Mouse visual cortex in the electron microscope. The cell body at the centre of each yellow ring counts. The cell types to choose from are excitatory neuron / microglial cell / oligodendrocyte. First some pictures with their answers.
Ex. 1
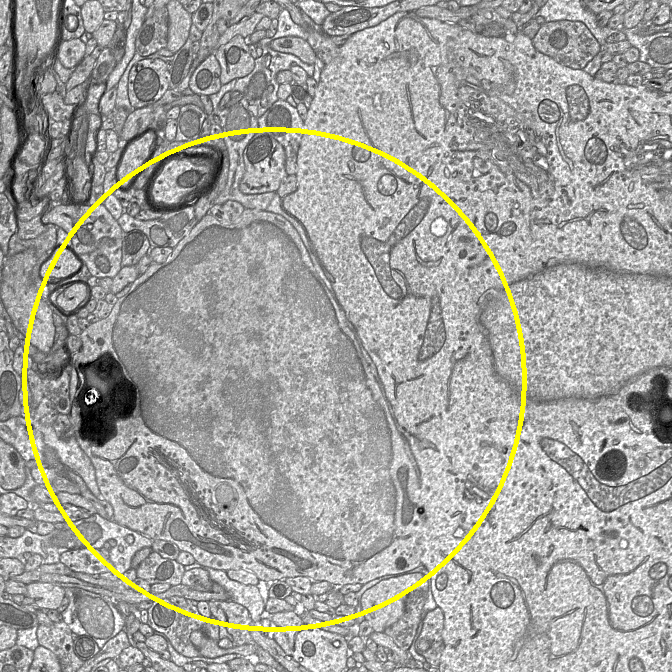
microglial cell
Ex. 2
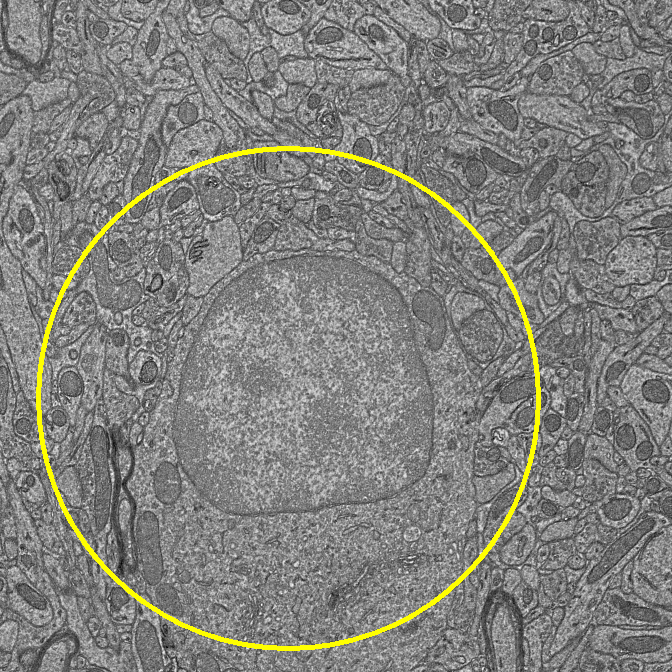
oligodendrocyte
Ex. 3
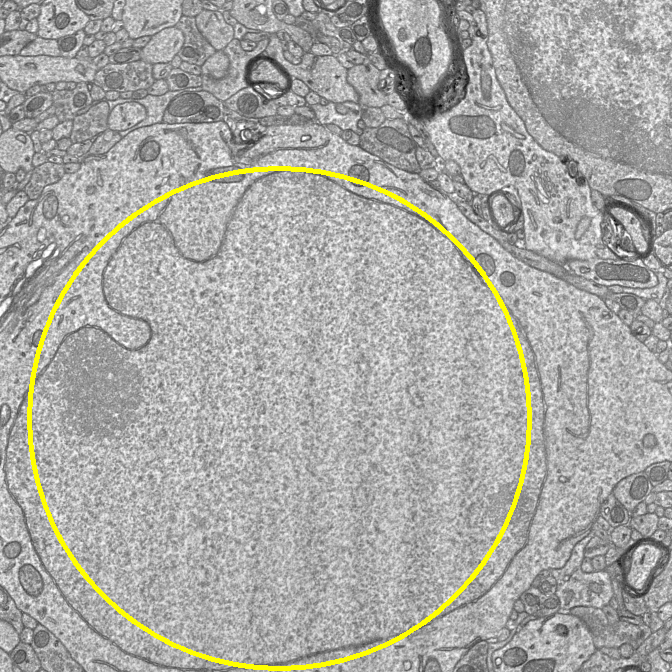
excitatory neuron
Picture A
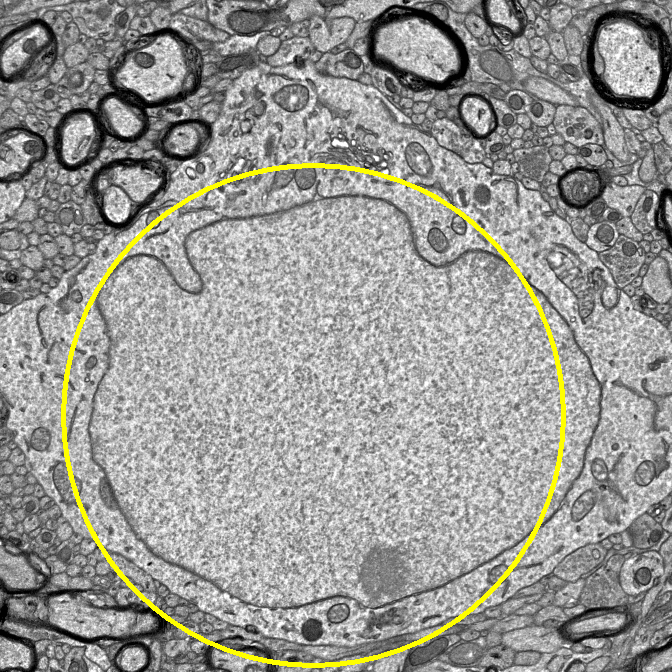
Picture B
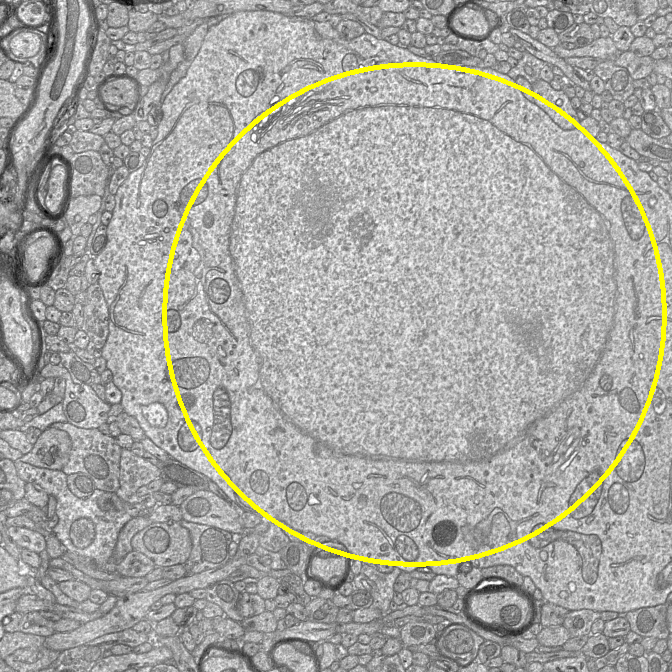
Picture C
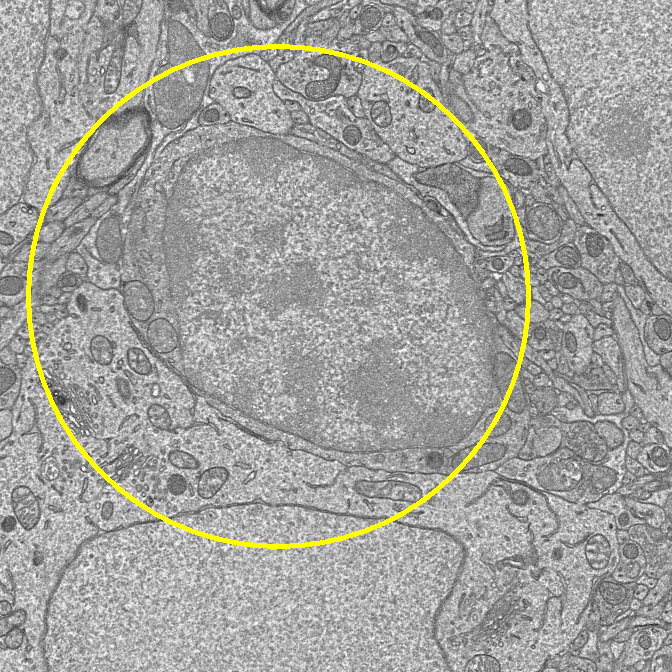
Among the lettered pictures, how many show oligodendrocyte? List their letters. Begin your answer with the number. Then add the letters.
1: C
